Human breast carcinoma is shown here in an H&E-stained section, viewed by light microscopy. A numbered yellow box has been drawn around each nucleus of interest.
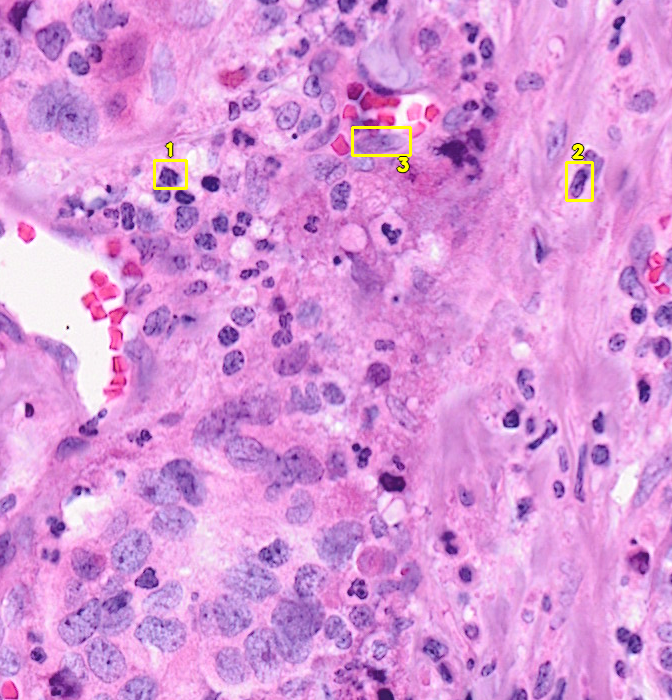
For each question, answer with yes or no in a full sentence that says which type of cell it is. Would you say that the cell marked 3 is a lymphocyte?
No, cell 3, which is an endothelial cell, is not a lymphocyte.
